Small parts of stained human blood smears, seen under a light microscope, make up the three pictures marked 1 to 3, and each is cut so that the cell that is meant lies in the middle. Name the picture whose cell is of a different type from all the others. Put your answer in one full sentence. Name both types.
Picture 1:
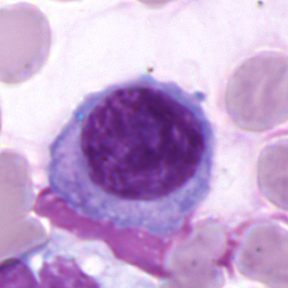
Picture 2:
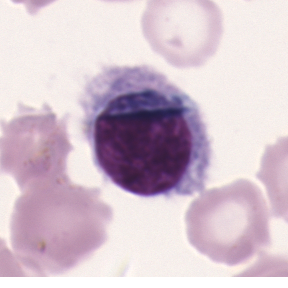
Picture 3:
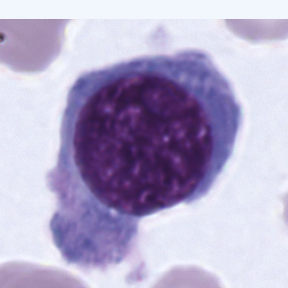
Unlike the rest, which show plasma cells, picture 2 shows a hairy cell.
